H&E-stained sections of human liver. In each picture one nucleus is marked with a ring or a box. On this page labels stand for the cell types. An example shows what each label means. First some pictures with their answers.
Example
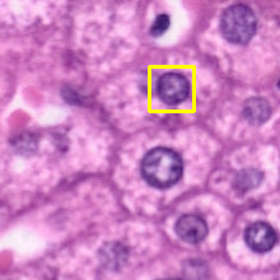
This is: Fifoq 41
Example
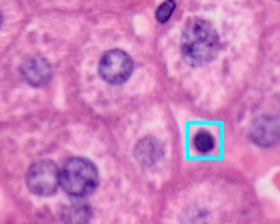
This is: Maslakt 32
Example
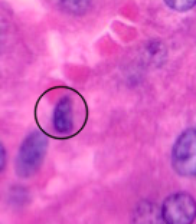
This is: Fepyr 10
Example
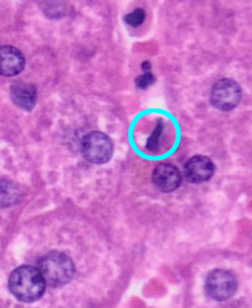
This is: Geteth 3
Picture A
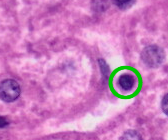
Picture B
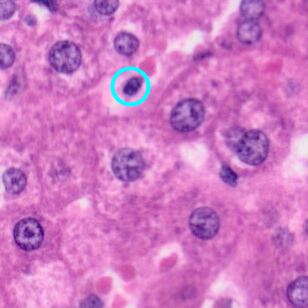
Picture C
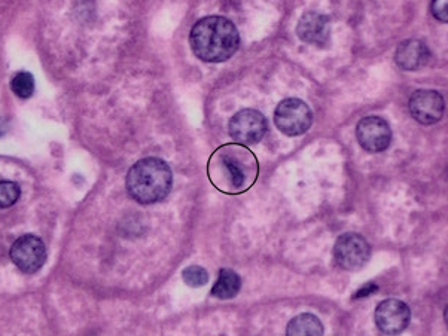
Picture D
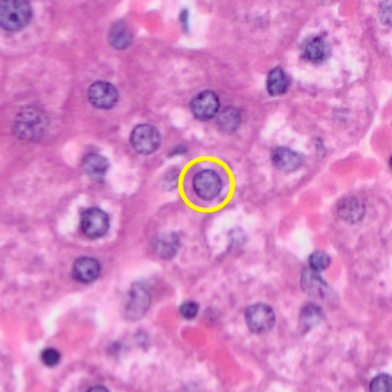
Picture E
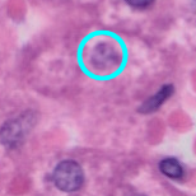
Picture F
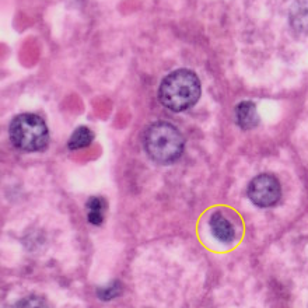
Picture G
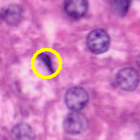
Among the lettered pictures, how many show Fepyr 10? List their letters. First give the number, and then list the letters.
1, namely G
